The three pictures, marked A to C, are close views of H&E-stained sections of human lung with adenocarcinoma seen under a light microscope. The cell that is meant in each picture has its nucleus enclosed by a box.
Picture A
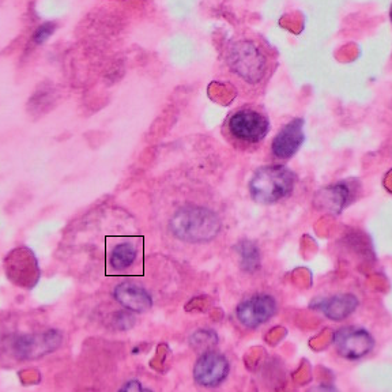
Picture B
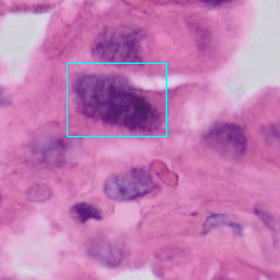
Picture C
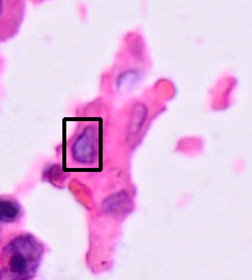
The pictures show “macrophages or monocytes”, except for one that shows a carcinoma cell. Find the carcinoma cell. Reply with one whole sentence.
The cell in picture B is the carcinoma cell.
